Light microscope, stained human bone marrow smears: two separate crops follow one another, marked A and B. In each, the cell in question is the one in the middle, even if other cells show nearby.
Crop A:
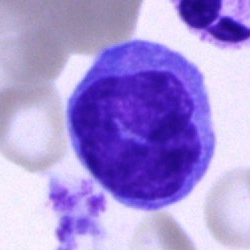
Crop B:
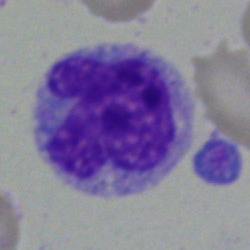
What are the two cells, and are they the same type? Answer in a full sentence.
Yes, in both crops, monocytes are the cells at the middle.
